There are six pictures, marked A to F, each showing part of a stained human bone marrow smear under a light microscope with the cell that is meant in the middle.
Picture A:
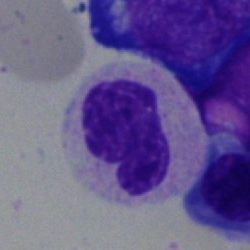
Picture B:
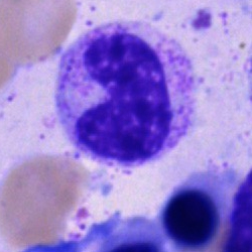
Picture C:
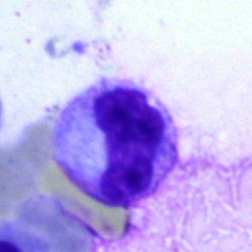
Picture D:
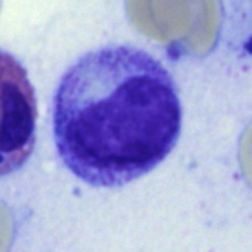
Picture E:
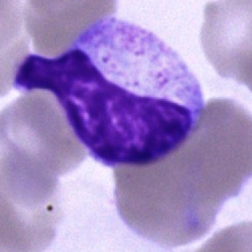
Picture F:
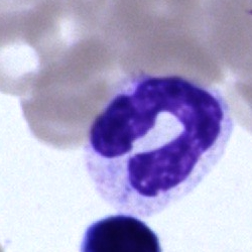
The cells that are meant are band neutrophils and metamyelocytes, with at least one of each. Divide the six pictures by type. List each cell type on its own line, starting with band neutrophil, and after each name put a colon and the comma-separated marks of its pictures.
band neutrophil: A, F
metamyelocyte: B, C, D, E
